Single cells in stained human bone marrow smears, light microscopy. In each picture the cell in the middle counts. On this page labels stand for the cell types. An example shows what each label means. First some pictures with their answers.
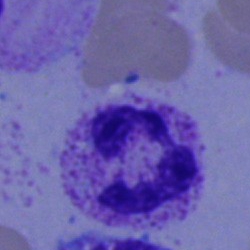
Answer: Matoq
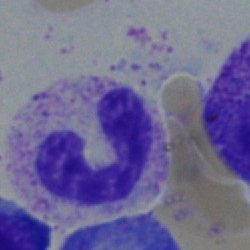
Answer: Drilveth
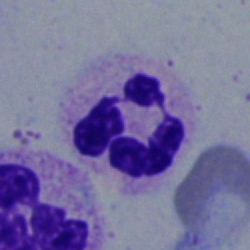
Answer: Matoq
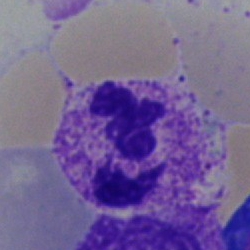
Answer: Matoq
